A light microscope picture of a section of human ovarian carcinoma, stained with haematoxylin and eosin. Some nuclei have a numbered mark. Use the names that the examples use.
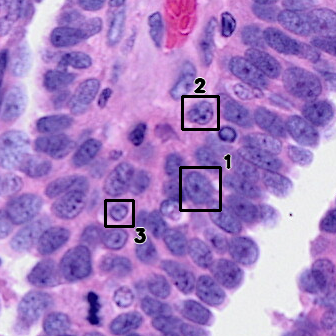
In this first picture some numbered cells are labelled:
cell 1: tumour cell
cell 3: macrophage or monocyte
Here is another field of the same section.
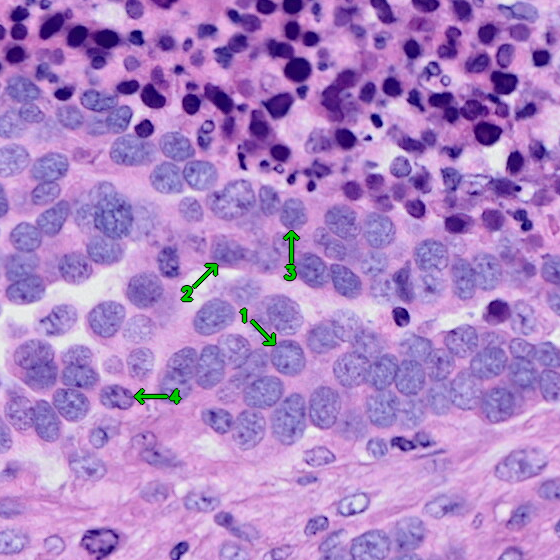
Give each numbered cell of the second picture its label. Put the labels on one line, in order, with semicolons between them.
tumour cell; tumour cell; tumour cell; macrophage or monocyte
